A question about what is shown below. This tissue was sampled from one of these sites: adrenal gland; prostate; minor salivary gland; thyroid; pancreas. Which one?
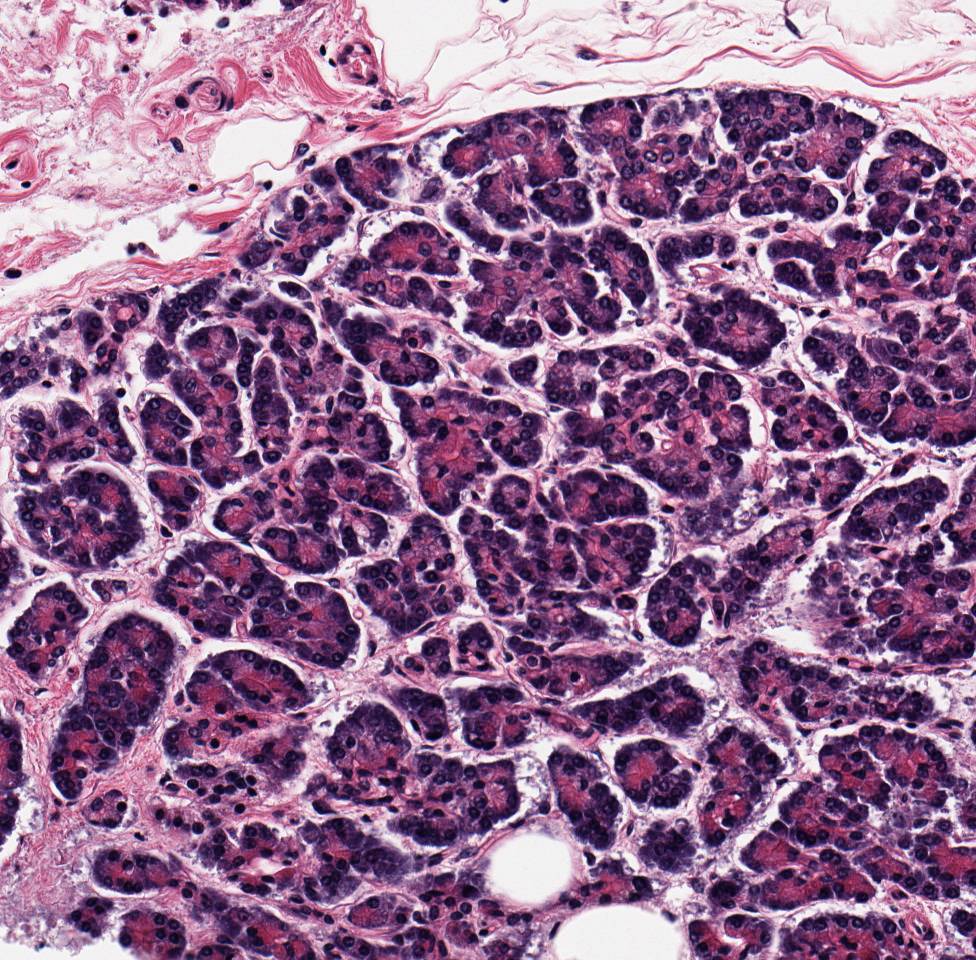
pancreas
